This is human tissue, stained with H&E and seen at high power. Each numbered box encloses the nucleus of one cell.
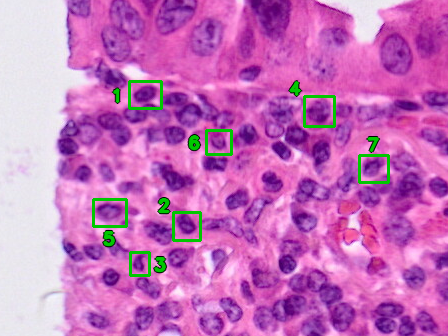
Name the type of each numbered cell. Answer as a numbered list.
1. lymphocyte
2. plasma cell
3. lymphocyte
4. plasma cell
5. plasma cell
6. plasma cell
7. lymphocyte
